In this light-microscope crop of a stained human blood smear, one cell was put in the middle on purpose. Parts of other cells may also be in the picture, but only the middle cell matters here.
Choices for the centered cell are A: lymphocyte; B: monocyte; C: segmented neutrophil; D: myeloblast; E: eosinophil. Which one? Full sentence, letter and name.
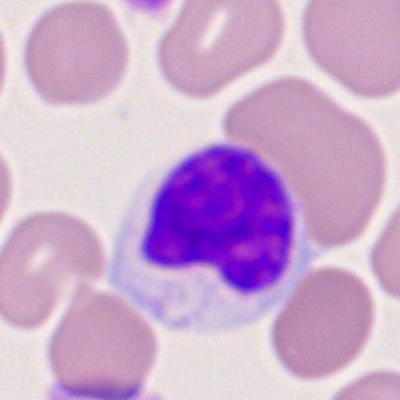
Option A is accurate; the centrally placed cell is a lymphocyte.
